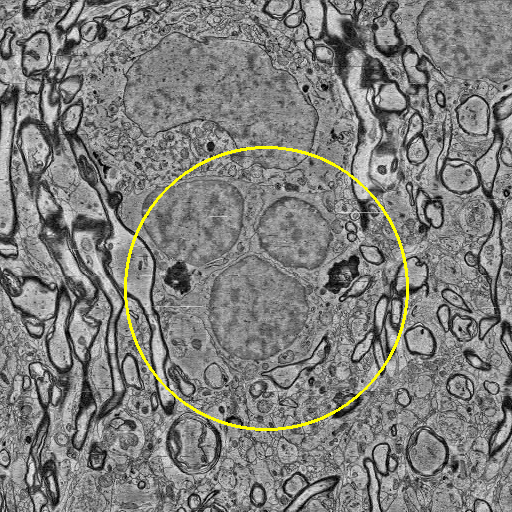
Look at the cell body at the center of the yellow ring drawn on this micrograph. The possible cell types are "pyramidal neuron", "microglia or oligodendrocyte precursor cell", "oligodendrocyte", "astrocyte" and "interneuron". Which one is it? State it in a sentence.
The cell in the middle of the ring is an oligodendrocyte.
